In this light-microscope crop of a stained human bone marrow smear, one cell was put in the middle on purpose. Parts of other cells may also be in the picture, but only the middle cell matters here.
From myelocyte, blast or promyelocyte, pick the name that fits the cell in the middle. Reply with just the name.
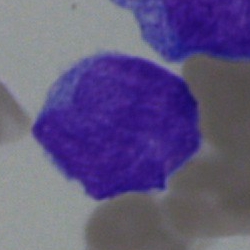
blast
